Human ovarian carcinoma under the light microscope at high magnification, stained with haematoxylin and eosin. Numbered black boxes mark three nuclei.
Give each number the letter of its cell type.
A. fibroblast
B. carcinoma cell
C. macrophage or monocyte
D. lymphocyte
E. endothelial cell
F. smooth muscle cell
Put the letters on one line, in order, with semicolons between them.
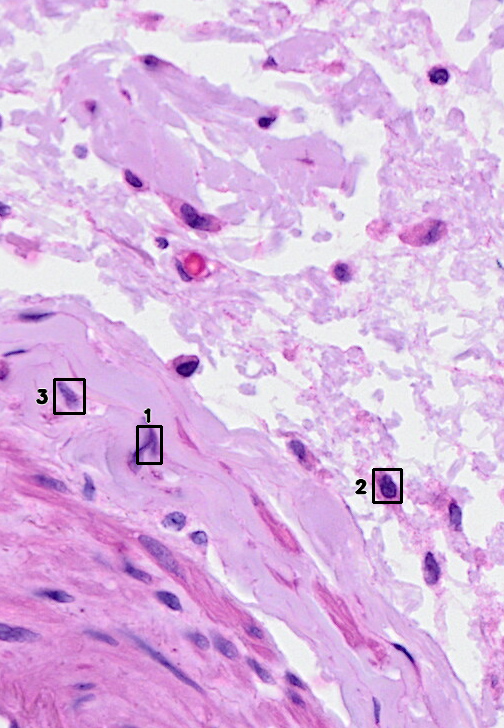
A; C; A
